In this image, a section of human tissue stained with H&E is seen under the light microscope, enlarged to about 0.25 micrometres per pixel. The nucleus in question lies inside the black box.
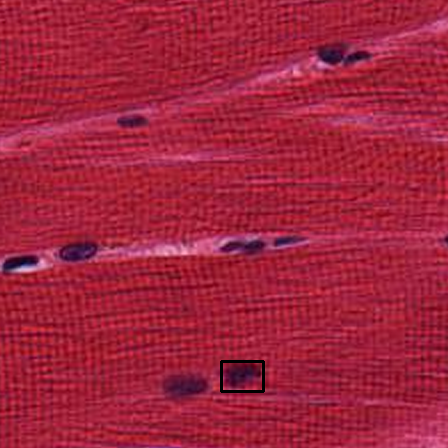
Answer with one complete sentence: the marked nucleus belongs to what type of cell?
The mark in this picture falls on the nucleus of a skeletal muscle fibre.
